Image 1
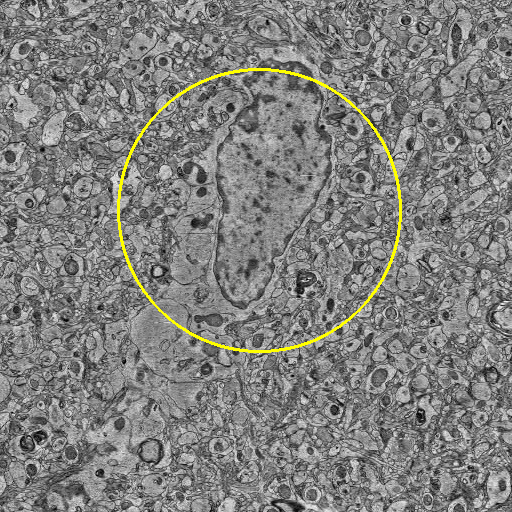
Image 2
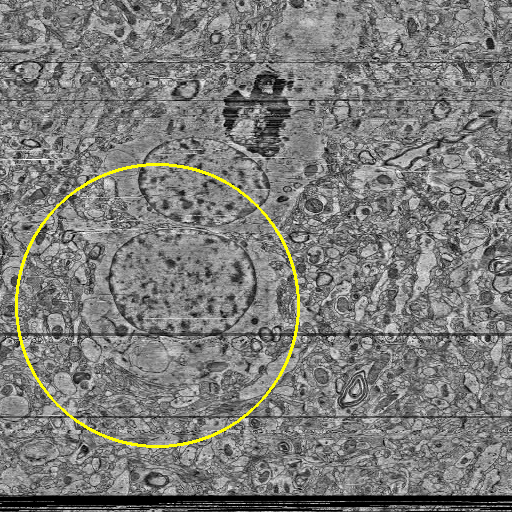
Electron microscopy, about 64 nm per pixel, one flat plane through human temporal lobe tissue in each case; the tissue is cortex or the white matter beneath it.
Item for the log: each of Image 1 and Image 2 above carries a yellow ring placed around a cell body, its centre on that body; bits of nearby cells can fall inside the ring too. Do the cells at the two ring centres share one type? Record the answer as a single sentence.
No, the two cells at the ring centres in Image 1 and Image 2 are of two types.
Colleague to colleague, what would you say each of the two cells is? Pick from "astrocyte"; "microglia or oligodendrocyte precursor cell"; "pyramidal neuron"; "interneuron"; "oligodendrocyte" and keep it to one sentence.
The cell in the first picture is a microglial cell or oligodendrocyte precursor cell; the second picture's cell is an astrocyte.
